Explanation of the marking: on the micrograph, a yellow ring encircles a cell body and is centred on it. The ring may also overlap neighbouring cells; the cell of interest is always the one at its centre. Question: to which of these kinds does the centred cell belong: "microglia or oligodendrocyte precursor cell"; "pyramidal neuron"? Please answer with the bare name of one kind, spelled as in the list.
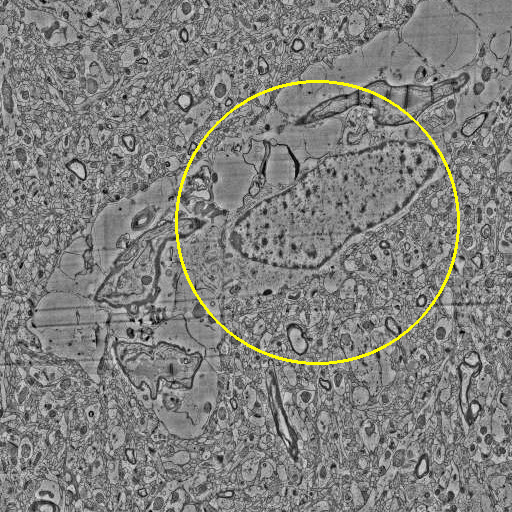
microglia or oligodendrocyte precursor cell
